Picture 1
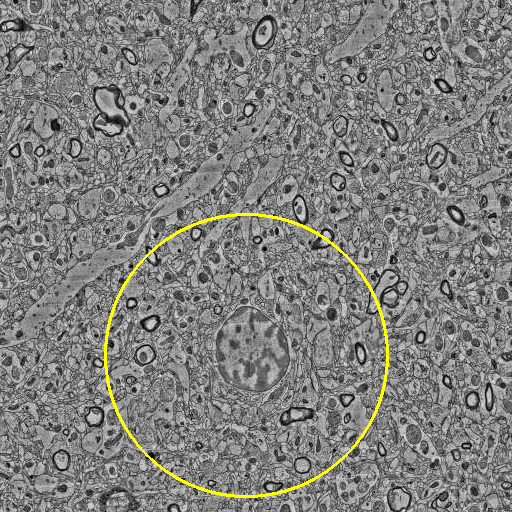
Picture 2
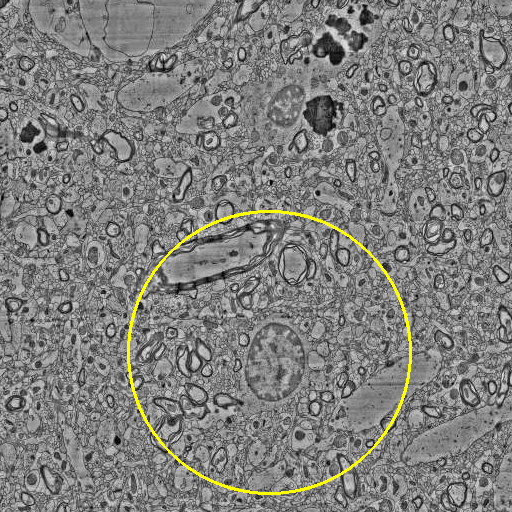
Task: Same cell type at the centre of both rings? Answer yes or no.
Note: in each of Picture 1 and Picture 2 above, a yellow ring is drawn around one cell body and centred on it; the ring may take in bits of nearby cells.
no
